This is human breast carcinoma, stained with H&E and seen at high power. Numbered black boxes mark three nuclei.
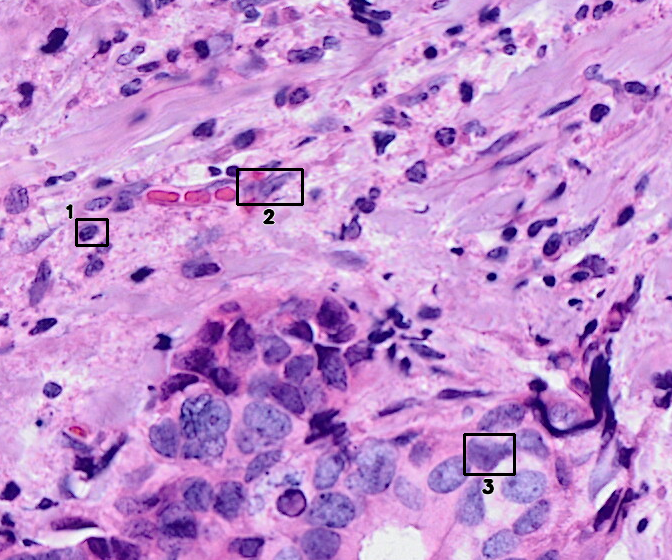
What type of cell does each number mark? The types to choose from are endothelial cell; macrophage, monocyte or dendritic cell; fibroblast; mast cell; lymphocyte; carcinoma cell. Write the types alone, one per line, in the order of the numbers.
lymphocyte
endothelial cell
carcinoma cell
